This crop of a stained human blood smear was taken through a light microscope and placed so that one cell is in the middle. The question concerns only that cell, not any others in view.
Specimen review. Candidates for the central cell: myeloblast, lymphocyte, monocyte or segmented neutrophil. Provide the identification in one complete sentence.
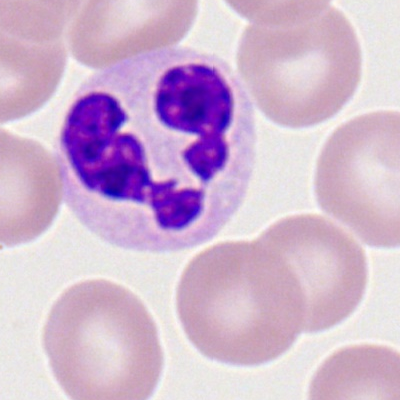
Regarding the central cell, it is a segmented neutrophil.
